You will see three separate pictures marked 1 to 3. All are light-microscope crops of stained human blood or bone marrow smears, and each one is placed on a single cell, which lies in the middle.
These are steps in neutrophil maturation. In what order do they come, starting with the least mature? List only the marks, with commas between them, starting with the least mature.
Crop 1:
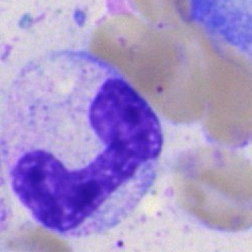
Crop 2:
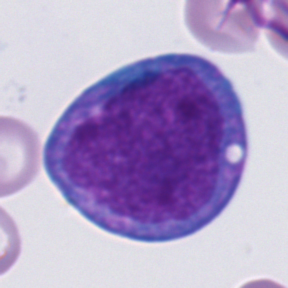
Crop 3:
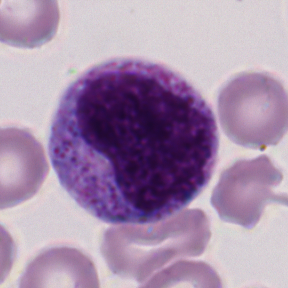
2, 3, 1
